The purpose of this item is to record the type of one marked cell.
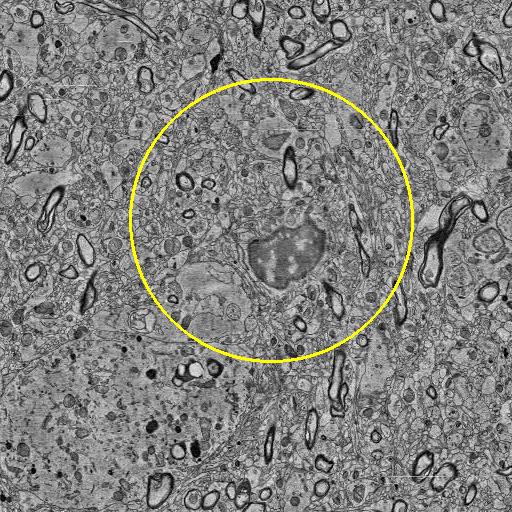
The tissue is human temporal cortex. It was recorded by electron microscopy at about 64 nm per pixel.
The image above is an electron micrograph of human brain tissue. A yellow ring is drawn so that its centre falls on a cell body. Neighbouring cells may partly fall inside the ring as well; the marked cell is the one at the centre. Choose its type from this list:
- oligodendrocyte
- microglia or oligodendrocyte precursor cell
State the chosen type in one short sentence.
What the ring marks here is a microglial cell or oligodendrocyte precursor cell.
